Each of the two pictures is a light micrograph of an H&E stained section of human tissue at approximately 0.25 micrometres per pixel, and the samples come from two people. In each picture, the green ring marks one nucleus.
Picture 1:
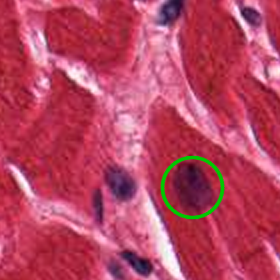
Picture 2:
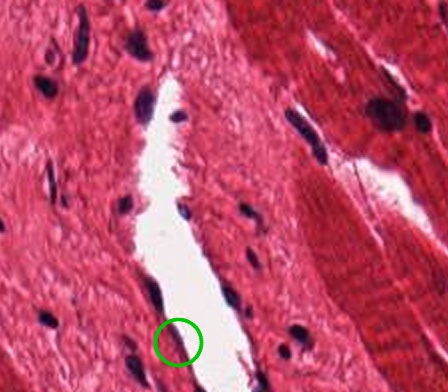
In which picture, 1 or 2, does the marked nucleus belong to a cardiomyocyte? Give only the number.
1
